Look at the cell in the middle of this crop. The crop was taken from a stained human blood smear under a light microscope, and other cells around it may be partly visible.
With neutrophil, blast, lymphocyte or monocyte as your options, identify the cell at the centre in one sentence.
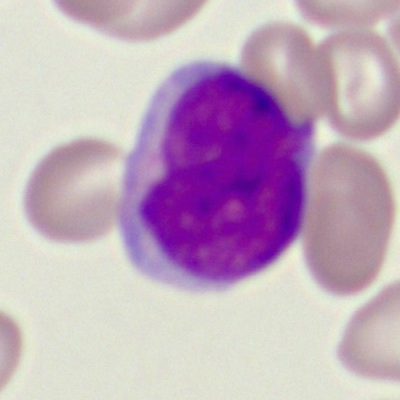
Where the crop is centred, there is a blast.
